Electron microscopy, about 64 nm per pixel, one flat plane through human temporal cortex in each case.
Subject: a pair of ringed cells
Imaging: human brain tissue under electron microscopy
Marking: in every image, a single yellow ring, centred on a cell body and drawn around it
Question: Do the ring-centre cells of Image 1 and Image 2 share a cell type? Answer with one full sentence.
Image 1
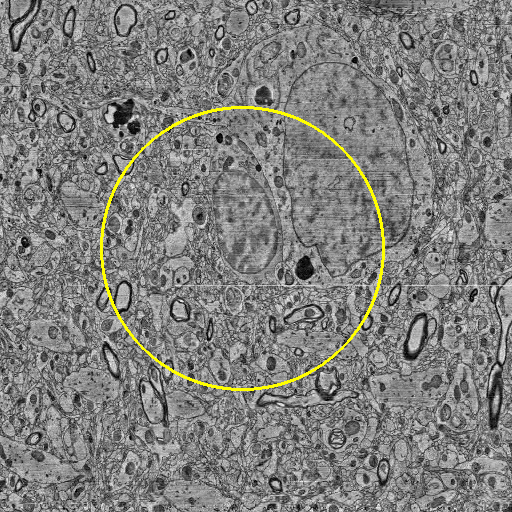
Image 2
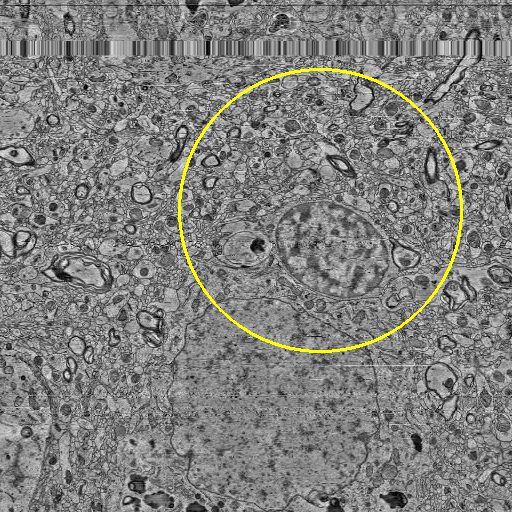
Yes, at each ring's centre in the images sits a cell of one common type.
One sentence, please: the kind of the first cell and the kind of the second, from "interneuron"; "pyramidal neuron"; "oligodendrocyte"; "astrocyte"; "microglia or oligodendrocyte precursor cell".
In each picture the ringed cell is an oligodendrocyte.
